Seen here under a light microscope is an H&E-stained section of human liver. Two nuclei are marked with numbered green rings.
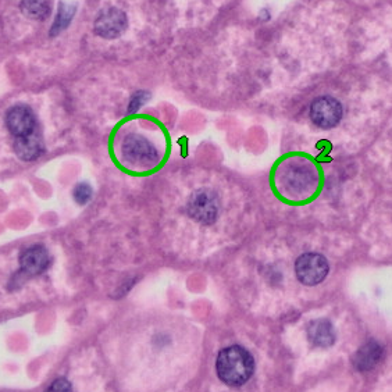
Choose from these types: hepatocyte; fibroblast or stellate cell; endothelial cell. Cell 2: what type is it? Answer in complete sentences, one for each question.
Corresponding to a hepatocyte is the cell labelled 2.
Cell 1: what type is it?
The one numbered 1 among the marked cells is an endothelial cell.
